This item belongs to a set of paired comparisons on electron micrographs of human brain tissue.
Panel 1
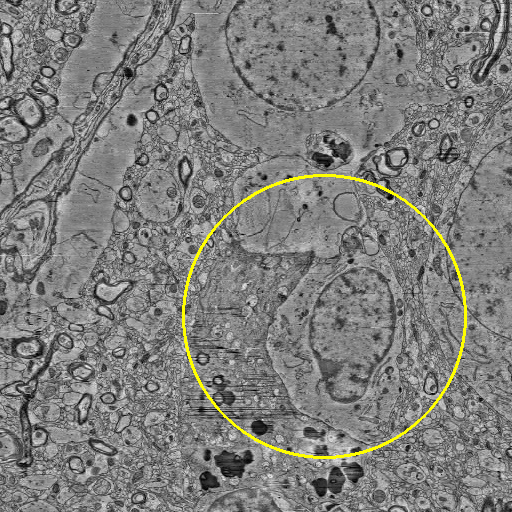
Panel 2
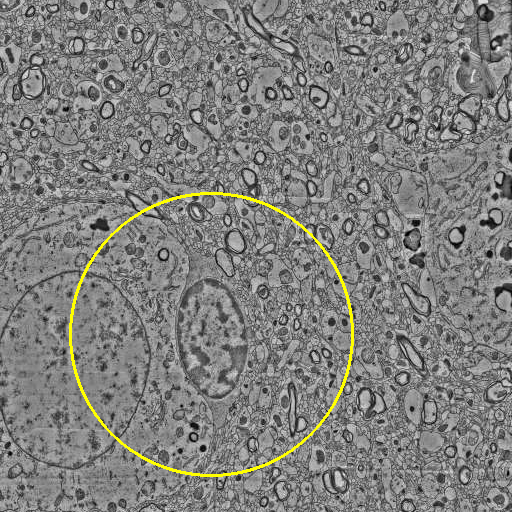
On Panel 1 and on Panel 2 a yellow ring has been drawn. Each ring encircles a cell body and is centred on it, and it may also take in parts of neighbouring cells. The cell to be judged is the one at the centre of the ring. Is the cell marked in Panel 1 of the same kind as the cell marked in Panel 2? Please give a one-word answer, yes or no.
no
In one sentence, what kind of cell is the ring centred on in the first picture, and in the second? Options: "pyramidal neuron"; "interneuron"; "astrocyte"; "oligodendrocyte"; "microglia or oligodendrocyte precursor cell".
The cell at the centre of the second ring is an oligodendrocyte; the first ring's cell is a microglial cell or oligodendrocyte precursor cell.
